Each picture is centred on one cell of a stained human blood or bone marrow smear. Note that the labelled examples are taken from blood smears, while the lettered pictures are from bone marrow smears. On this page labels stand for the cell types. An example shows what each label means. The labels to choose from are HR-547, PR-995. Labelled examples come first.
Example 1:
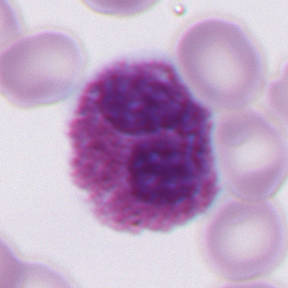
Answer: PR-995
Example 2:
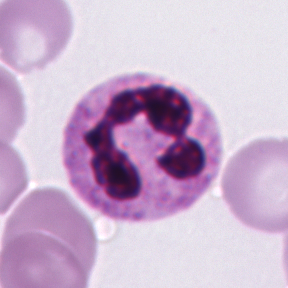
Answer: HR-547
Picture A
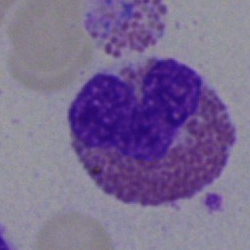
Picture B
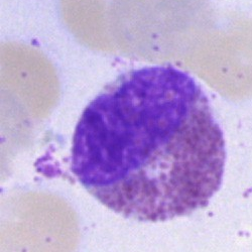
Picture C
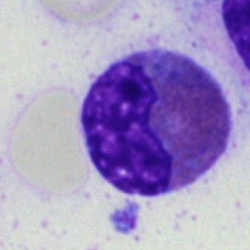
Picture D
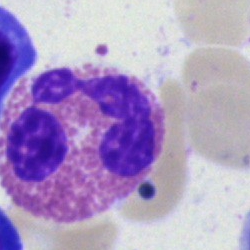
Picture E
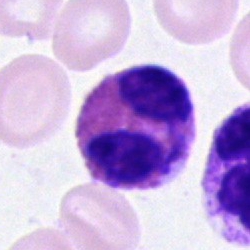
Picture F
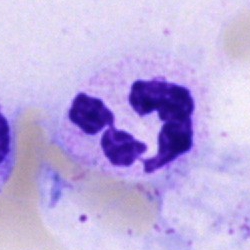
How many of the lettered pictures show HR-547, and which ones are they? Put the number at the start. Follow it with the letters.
1, namely F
